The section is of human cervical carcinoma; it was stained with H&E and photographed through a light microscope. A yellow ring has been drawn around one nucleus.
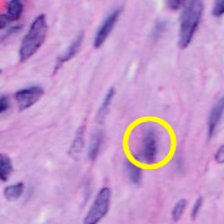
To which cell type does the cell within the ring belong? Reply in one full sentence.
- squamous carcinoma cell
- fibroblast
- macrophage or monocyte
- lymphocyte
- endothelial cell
So far as cell type goes, the cell within the ring is a fibroblast.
